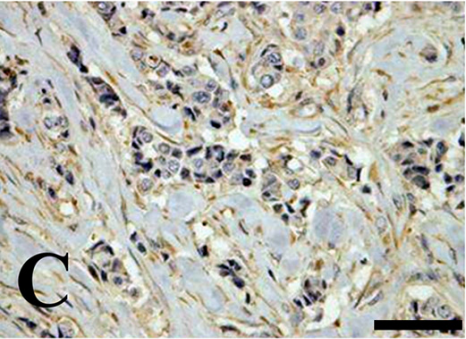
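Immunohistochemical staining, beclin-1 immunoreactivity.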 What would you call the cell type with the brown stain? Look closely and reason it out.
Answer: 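Cancer-associated stromal cells. Brown stain lies on elongated spindle cells between the cell groups. The rounded epithelial cells with dark nuclei have little brown stain.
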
